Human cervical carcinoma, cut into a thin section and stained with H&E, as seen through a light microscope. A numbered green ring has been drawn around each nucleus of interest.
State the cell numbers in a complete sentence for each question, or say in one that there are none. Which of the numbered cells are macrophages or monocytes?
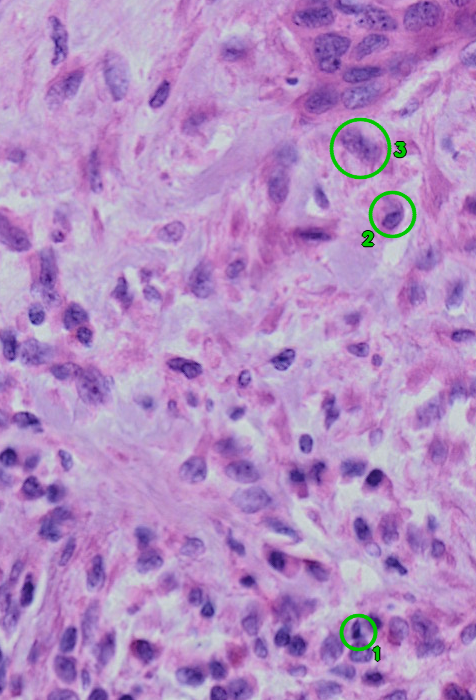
Among the numbered cells, the one that is a macrophage or monocyte is cell 2 alone.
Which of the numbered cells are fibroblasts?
Unlike the other numbered cells, cell 3 is a fibroblast.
